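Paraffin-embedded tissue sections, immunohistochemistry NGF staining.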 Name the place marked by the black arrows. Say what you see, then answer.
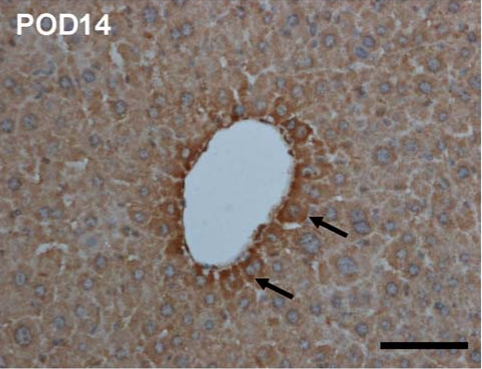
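Zone 3. The arrows point at intensely brown cells directly surrounding a large central vessel. Brown staining is strongest in the ring of cells around the vessel and fades with distance.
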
